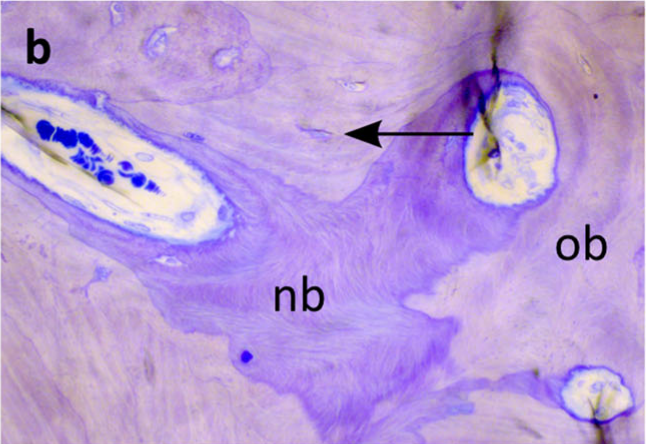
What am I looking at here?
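This is bone tissue where a pale, older bone matrix meets a more deeply purple-stained band of newer bone. The darker purple bone forms a band that wraps around and between the canals. Several canals cut through the matrix, one of them holding dark blue round bodies in its pale interior.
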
